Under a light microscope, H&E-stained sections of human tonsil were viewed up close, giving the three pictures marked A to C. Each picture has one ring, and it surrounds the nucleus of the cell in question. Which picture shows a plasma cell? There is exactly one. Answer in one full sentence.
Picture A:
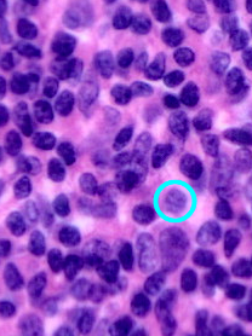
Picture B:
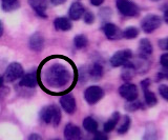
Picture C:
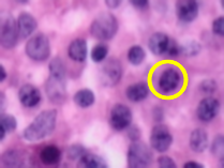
It is picture C that shows the plasma cell.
